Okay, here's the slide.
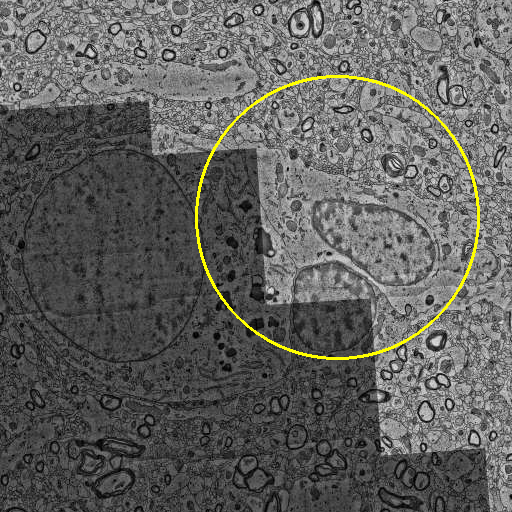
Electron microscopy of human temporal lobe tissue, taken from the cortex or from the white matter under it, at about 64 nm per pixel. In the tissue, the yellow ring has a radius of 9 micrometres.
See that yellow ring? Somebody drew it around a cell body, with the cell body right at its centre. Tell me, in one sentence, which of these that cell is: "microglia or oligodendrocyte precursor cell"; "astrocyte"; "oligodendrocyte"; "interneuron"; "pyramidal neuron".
The cell in the middle of the ring is a microglial cell or oligodendrocyte precursor cell.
